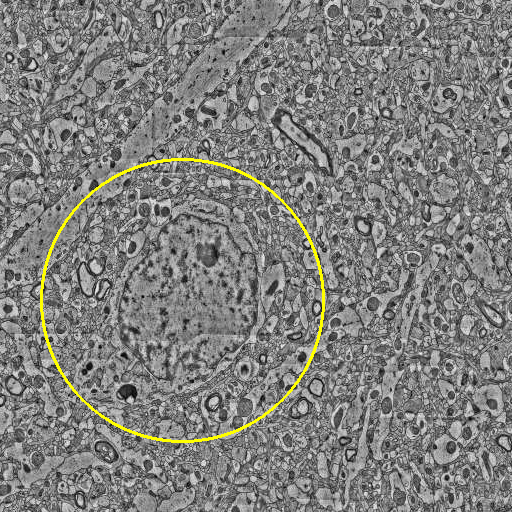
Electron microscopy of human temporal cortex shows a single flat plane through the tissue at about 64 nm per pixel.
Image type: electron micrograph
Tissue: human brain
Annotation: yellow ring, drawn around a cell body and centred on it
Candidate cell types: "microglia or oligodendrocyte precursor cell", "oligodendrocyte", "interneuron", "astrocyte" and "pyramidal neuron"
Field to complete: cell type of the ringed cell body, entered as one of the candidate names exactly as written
interneuron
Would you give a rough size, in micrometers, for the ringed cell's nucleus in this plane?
Roughly 11 micrometres by 8 micrometres, in this plane.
